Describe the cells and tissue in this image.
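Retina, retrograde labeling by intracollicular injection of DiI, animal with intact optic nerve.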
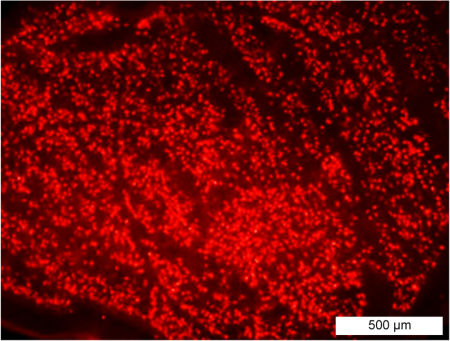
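No processes are seen; the label fills the round cell bodies. Darker, narrow unlabeled streaks run through the field, separating groups of cells, and density appears somewhat higher toward the middle of the field. The background between cells is dark, so the labeled cells stand out clearly as individual dots.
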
